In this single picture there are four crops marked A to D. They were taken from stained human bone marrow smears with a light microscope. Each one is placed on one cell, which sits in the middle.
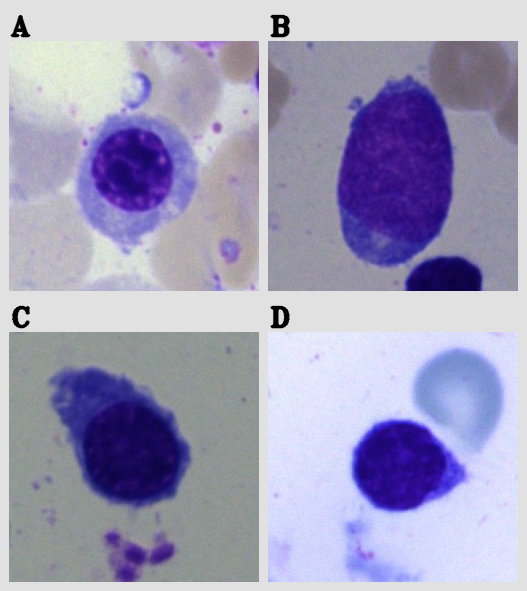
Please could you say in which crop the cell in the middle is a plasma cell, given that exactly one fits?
C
